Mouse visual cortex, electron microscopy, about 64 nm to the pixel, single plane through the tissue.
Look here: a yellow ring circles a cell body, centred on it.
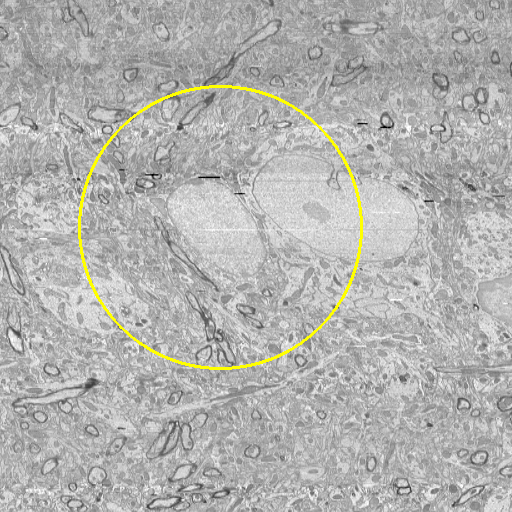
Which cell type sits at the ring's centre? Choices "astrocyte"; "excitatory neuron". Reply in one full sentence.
The cell at the centre of the yellow ring in the picture is an astrocyte.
